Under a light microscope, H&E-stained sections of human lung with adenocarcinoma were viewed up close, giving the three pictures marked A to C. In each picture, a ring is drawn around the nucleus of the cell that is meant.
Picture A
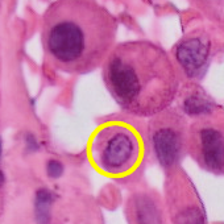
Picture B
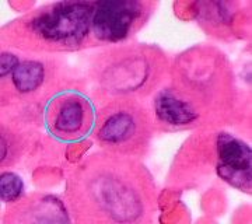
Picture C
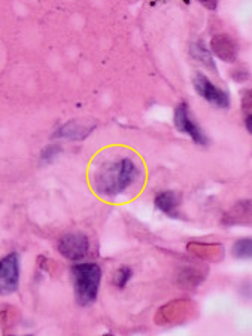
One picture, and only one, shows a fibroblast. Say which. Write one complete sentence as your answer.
It is picture C that shows the fibroblast.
